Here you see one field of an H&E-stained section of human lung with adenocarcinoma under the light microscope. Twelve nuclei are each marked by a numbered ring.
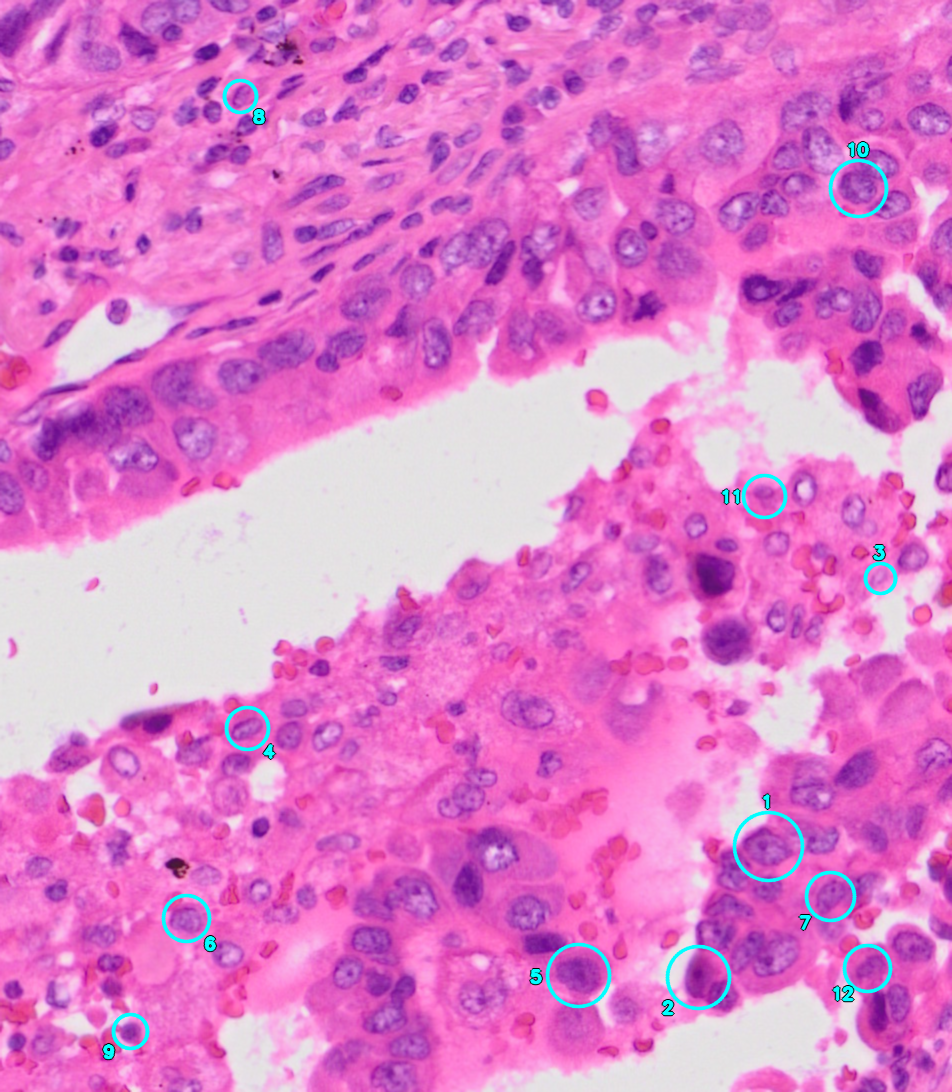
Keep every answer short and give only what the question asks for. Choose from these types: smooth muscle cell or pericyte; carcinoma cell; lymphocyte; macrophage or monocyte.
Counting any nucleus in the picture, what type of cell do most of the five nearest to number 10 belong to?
carcinoma cell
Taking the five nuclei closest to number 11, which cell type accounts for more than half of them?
macrophage or monocyte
